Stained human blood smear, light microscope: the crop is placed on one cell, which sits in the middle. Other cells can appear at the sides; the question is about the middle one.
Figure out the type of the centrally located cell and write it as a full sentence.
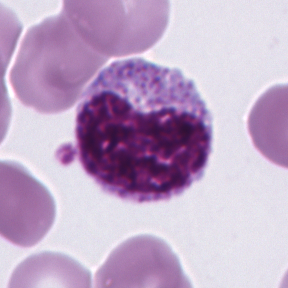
The crop centres on a single cell, and that cell is a metamyelocyte.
